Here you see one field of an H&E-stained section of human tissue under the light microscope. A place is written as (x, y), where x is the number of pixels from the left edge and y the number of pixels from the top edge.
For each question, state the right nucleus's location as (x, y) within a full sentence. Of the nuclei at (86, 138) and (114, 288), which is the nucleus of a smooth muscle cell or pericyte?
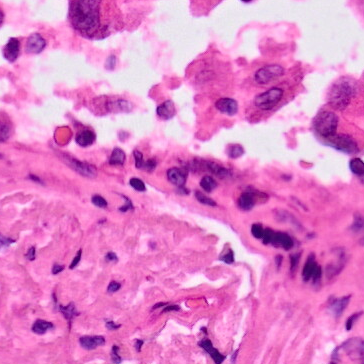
Identified as belonging to a smooth muscle cell or pericyte is the nucleus at (114, 288).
